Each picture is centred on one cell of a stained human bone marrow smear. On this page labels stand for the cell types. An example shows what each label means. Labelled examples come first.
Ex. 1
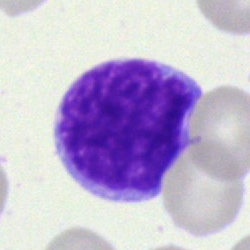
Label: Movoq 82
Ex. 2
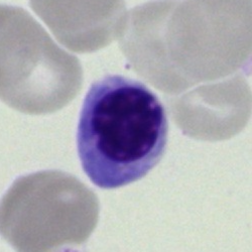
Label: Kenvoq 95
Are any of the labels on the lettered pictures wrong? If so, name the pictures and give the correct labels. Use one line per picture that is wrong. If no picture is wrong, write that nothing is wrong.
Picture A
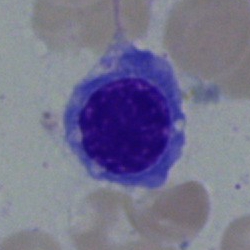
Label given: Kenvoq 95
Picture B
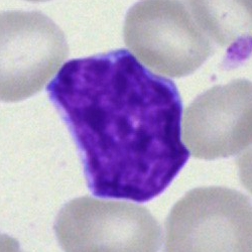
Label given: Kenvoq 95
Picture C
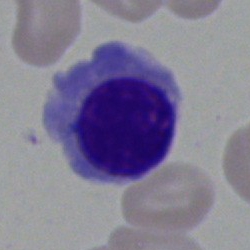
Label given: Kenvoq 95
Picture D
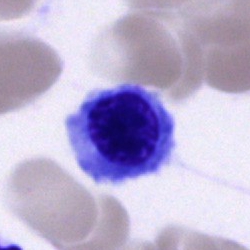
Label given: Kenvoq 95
B: not Kenvoq 95 but Movoq 82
